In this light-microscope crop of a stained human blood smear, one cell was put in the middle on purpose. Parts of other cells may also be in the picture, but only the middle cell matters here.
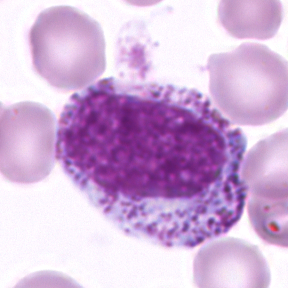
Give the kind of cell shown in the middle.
myelocyte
